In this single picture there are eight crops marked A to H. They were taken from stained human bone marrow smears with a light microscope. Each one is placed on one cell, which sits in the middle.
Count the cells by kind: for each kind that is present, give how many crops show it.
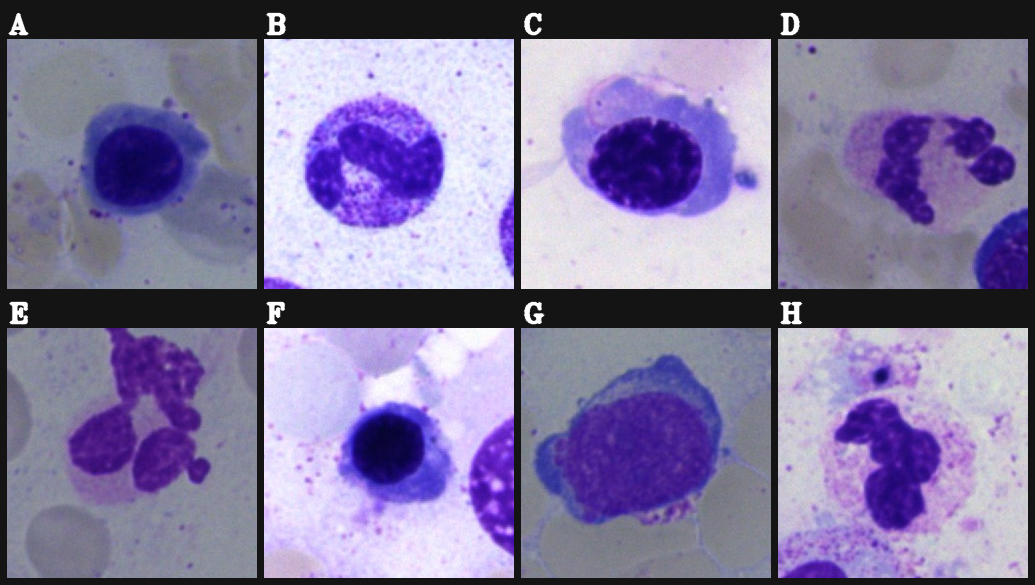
segmented neutrophil: 4
erythroblast: 3
blast: 1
